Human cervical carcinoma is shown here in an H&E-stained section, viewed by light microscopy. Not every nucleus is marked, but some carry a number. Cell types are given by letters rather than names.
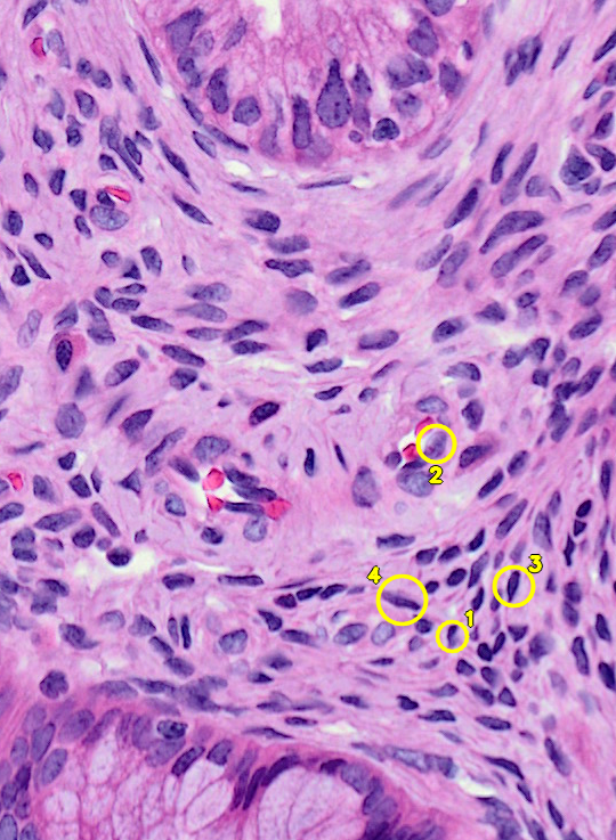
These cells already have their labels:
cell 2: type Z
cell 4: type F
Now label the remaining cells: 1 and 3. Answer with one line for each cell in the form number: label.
1: type F
3: type F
